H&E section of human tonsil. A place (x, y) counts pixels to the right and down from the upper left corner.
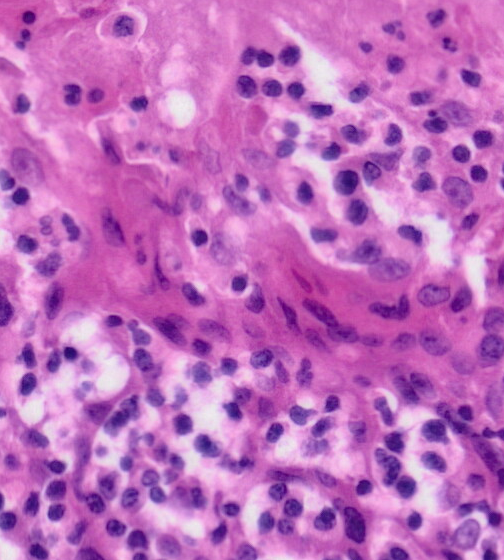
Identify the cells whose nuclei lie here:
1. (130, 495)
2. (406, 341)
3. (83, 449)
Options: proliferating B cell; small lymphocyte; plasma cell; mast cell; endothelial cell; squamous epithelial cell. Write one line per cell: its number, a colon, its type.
1: plasma cell
2: squamous epithelial cell
3: squamous epithelial cell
